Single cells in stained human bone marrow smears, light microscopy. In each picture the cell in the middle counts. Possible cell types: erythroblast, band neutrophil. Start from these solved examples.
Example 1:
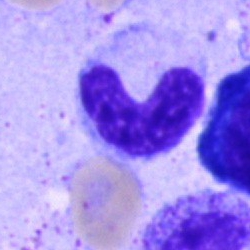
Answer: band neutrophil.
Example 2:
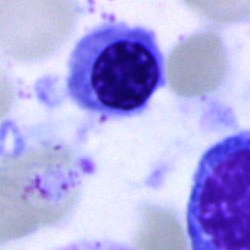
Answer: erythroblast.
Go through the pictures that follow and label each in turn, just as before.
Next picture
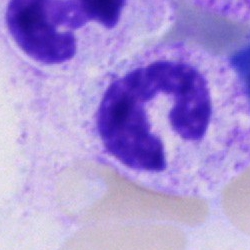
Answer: band neutrophil.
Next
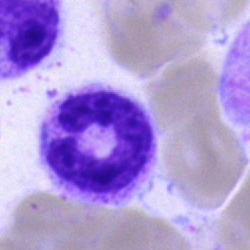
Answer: band neutrophil.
